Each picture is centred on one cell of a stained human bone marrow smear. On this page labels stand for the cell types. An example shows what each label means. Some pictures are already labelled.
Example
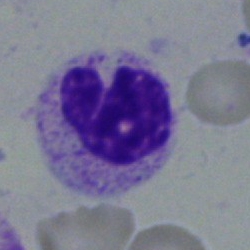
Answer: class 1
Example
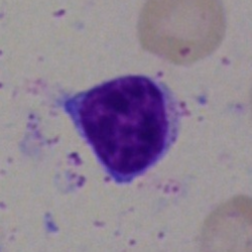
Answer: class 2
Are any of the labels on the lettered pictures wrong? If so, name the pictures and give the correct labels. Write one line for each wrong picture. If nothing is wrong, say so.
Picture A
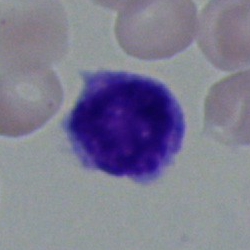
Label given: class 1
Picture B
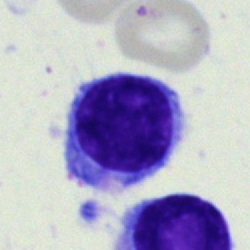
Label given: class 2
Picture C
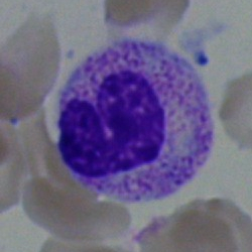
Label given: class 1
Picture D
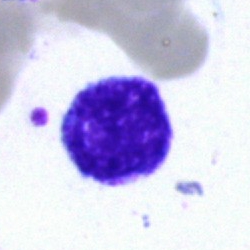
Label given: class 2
Wrong: A (class 1); correct: class 2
